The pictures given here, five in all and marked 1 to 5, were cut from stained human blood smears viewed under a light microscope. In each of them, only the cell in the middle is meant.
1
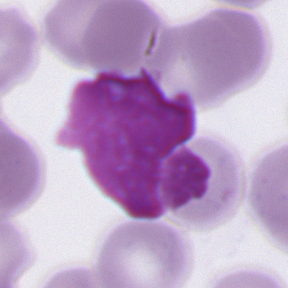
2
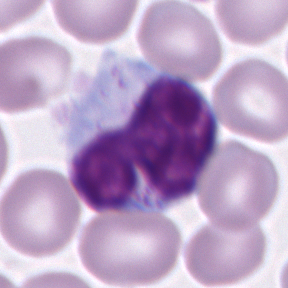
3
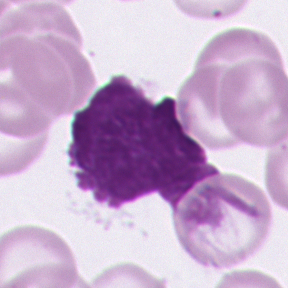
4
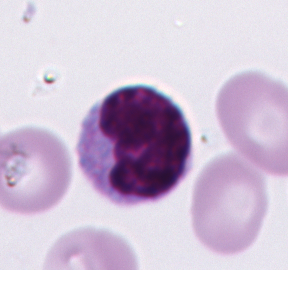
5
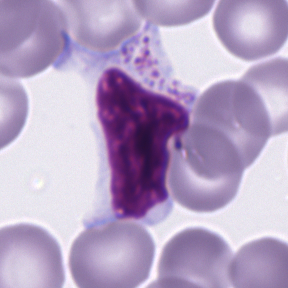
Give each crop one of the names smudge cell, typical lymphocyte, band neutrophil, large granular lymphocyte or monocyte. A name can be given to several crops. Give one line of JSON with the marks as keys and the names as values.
{"1": "smudge cell", "2": "large granular lymphocyte", "3": "smudge cell", "4": "large granular lymphocyte", "5": "large granular lymphocyte"}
